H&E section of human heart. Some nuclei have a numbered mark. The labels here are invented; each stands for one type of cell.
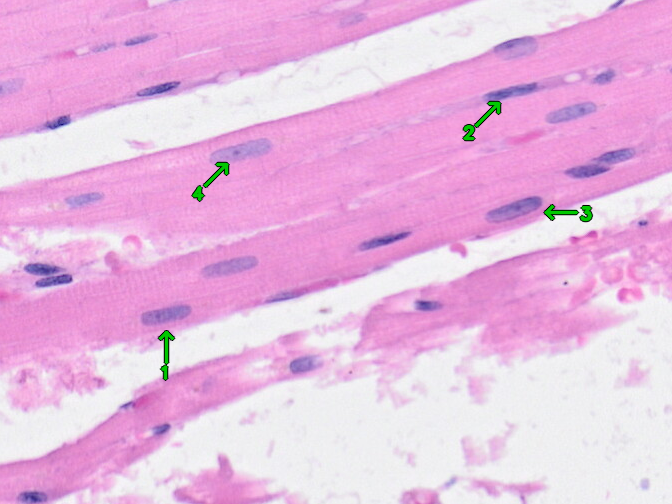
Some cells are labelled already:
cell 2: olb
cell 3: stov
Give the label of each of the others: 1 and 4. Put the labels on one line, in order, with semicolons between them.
stov; stov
